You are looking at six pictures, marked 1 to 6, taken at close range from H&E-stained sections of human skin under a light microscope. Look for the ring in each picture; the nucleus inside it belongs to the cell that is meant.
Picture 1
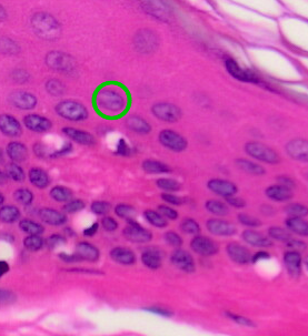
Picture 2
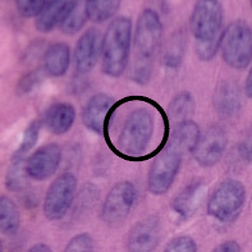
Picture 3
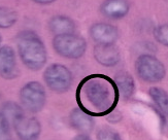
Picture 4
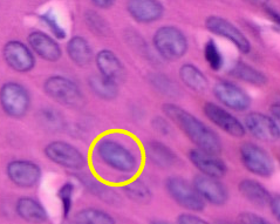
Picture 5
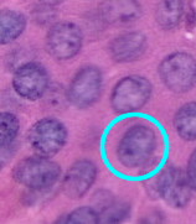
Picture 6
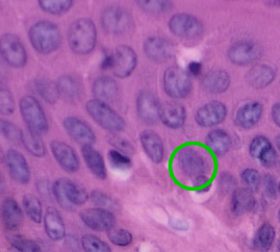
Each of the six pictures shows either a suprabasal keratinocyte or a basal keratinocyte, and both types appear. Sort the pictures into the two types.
1: suprabasal keratinocyte
2: suprabasal keratinocyte
3: basal keratinocyte
4: suprabasal keratinocyte
5: suprabasal keratinocyte
6: basal keratinocyte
